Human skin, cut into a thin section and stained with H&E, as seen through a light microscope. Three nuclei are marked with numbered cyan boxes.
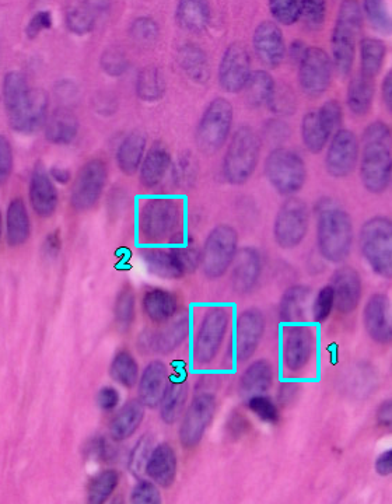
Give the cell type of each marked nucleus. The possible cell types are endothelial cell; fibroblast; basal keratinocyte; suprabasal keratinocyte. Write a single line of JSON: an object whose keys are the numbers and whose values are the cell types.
{"1": "basal keratinocyte", "2": "basal keratinocyte", "3": "suprabasal keratinocyte"}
